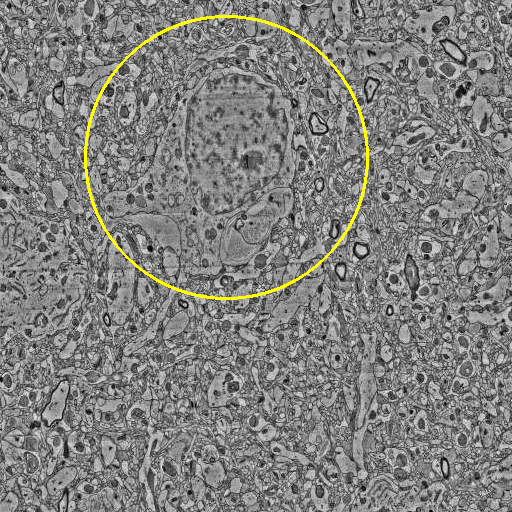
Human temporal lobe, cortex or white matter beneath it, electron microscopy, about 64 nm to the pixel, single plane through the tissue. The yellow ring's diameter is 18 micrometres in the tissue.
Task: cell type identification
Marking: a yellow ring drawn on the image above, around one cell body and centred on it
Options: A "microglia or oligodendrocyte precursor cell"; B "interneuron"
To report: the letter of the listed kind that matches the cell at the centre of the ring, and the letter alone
B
